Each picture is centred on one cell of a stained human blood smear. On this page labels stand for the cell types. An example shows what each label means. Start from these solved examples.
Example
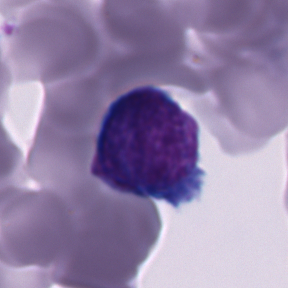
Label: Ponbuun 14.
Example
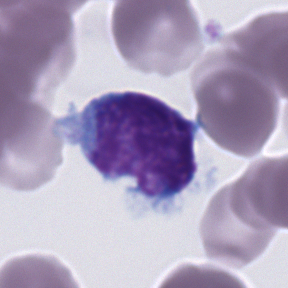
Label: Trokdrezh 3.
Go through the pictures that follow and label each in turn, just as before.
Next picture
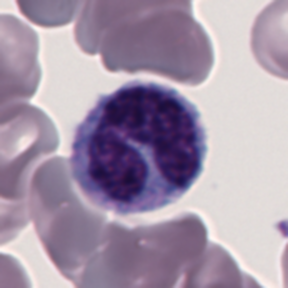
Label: Trokdrezh 3.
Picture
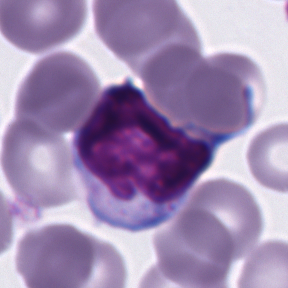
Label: Ponbuun 14.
